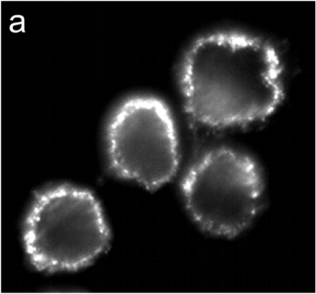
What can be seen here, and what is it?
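The ring is not smooth but made of many small bright dots and patches crowded side by side. The interior of each cell is much dimmer, with only a faint diffuse haze. The cells are of similar size and roughly round to slightly polygonal in outline.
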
